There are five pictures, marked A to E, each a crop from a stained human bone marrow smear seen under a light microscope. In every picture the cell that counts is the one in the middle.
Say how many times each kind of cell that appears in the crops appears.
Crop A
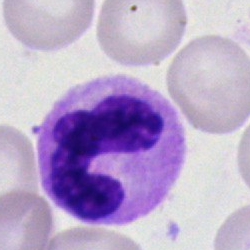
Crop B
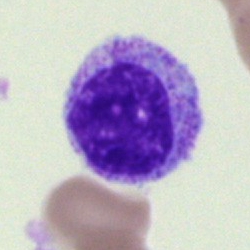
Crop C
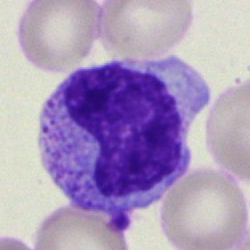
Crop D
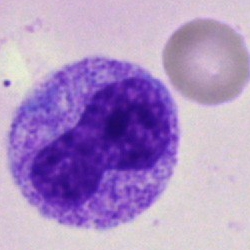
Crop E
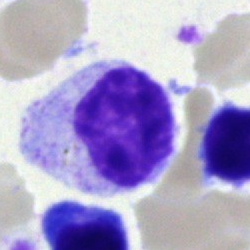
myelocyte: 2
metamyelocyte: 2
band neutrophil: 1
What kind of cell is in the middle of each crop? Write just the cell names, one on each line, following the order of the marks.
band neutrophil
myelocyte
metamyelocyte
metamyelocyte
myelocyte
